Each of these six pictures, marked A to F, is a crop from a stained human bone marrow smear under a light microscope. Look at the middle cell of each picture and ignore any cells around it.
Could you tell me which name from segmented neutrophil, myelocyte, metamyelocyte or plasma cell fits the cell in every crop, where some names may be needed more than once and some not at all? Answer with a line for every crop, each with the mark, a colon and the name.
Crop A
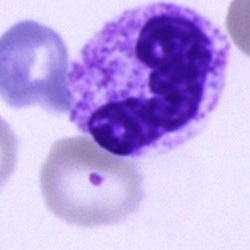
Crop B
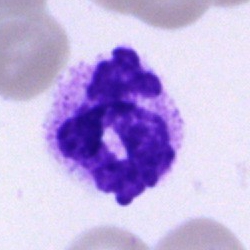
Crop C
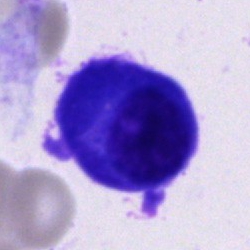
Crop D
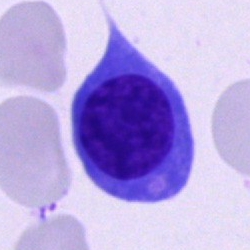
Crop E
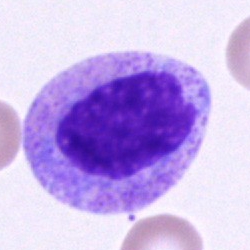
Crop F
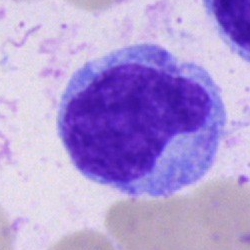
A: segmented neutrophil
B: segmented neutrophil
C: plasma cell
D: plasma cell
E: myelocyte
F: plasma cell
